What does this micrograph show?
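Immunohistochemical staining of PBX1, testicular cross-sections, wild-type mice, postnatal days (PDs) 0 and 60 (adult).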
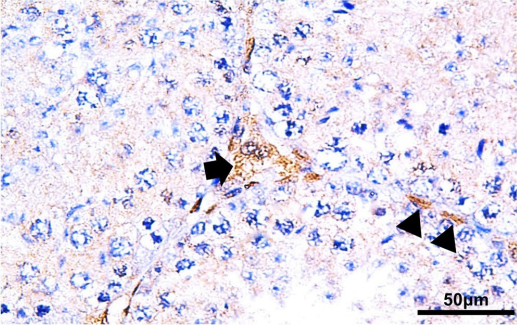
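The tubules abut closely, leaving narrow interstitial seams and a small triangular space where several meet. In that space lies a small cluster of cells with brownish cytoplasm, the Leydig cells. Along tubule boundaries run thin, elongated stained cells, the peritubular myoid cells. The tubule interiors show only faint diffuse brown background.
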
